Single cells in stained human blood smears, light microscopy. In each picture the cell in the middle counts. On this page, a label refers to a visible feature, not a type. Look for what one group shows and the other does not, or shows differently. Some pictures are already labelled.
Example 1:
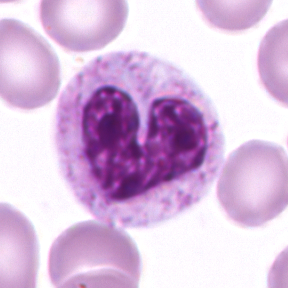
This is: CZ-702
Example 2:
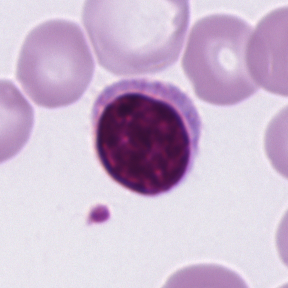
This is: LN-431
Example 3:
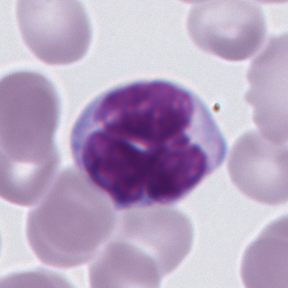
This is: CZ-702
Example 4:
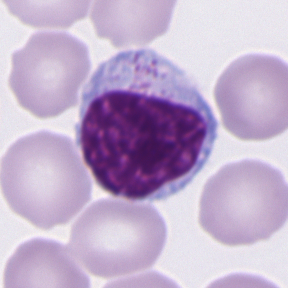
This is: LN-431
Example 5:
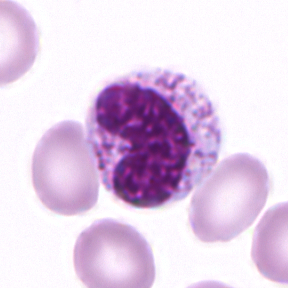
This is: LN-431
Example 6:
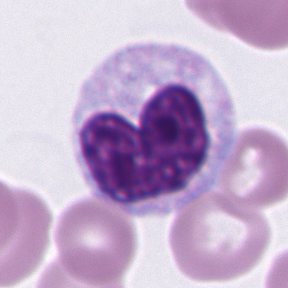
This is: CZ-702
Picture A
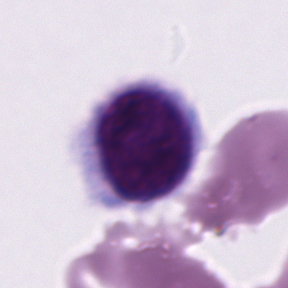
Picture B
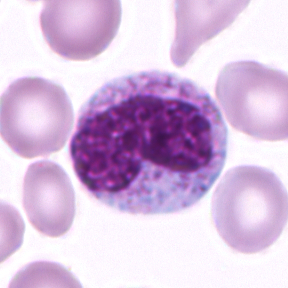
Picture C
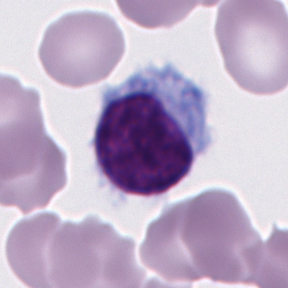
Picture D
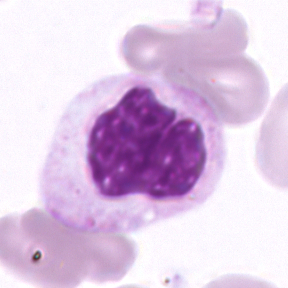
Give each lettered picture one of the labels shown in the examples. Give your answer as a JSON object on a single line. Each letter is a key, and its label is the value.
{"A": "LN-431", "B": "LN-431", "C": "LN-431", "D": "LN-431"}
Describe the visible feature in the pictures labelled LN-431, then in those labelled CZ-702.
LN-431, single compact nucleus; CZ-702, lobed nucleus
